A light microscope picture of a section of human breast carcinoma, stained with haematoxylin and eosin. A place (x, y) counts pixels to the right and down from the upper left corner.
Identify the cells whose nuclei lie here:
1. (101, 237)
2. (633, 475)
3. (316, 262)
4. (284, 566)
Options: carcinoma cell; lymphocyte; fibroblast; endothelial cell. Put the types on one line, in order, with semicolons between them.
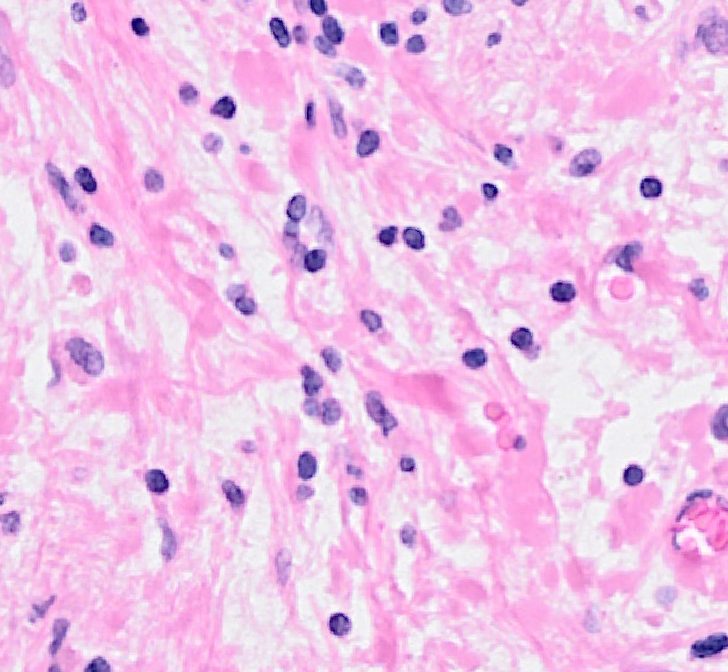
lymphocyte; lymphocyte; lymphocyte; fibroblast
